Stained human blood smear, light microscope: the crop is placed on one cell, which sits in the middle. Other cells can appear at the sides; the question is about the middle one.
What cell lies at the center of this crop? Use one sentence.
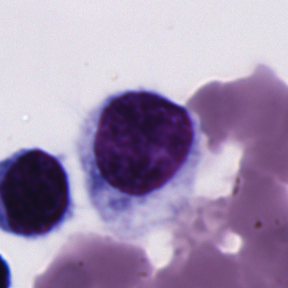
The cell positioned in the middle of the field is a hairy cell.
